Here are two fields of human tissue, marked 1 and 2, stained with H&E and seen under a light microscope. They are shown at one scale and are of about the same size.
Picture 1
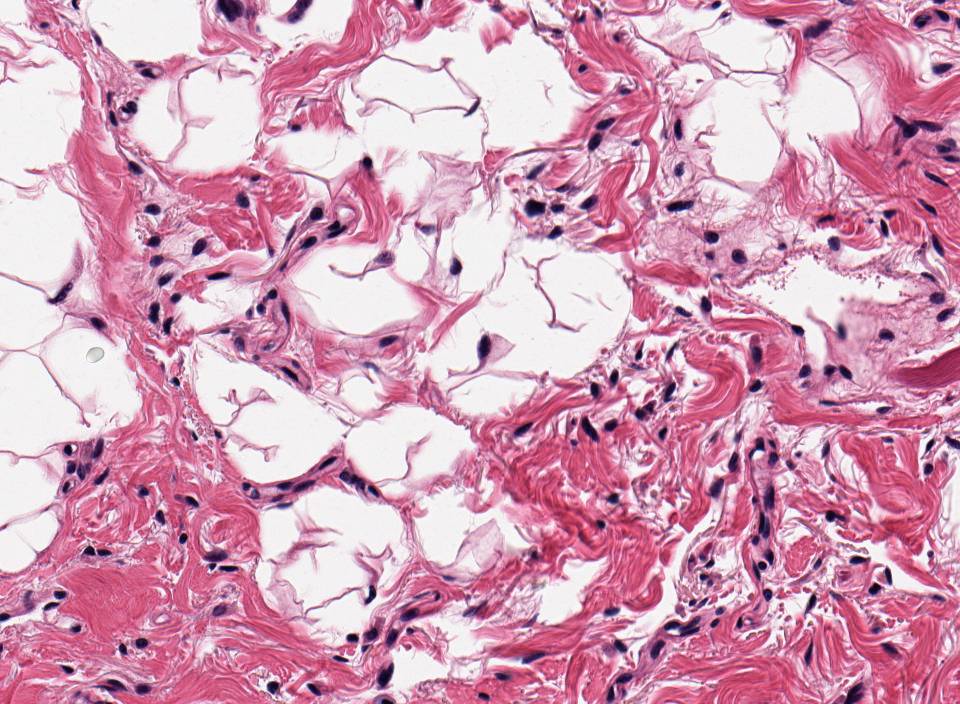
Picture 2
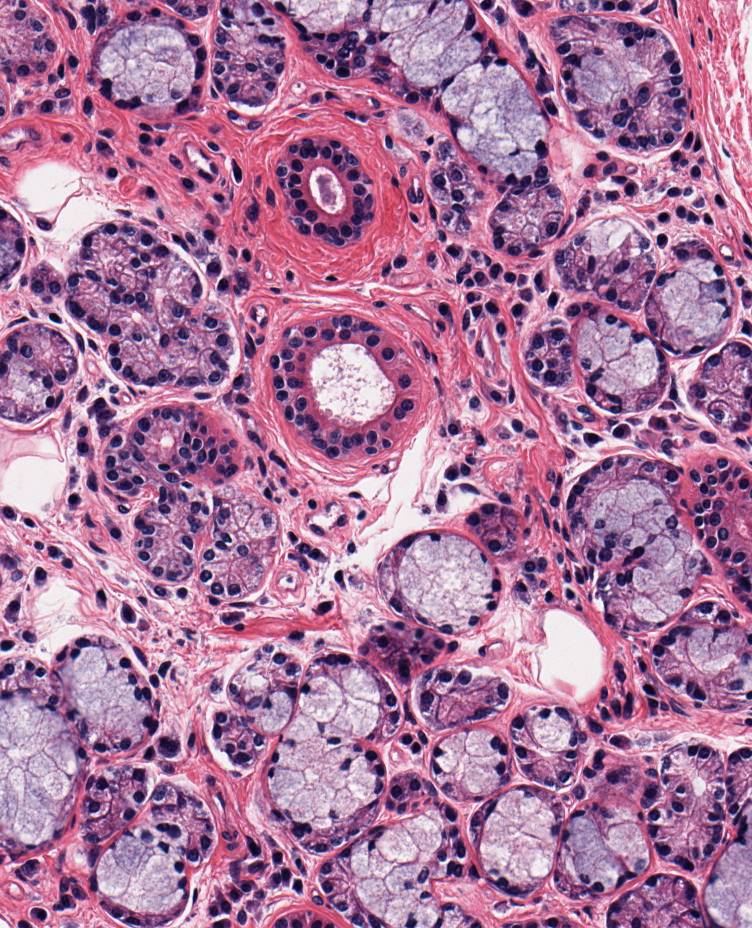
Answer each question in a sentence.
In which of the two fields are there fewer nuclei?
Fewer nuclei lie in picture 1 than in picture 2.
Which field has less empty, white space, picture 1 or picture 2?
Unstained space takes up less of picture 2 than of picture 1.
